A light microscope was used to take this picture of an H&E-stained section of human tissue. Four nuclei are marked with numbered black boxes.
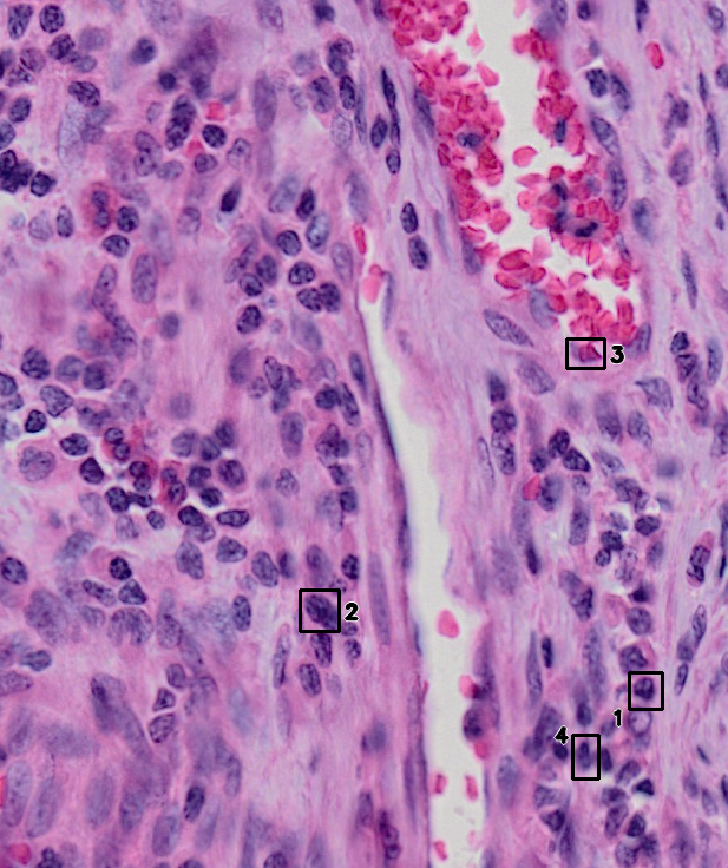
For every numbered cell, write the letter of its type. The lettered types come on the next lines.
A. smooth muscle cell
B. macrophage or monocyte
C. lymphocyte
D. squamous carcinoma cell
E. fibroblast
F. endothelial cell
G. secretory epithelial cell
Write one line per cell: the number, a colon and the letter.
1: C
2: C
3: F
4: C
